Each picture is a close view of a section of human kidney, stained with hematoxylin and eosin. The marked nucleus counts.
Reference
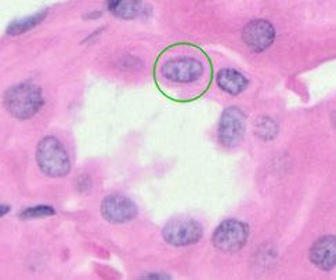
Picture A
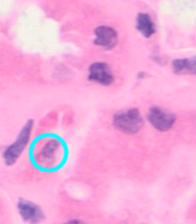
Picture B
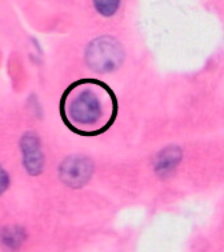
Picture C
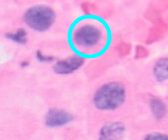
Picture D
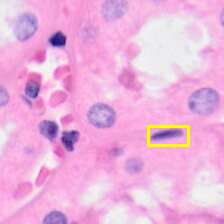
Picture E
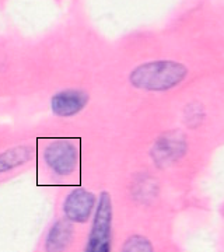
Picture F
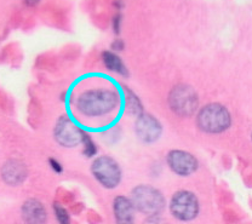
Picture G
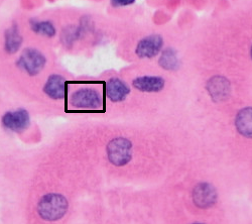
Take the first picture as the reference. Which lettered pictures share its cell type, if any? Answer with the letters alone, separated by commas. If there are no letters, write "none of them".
E, F, G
